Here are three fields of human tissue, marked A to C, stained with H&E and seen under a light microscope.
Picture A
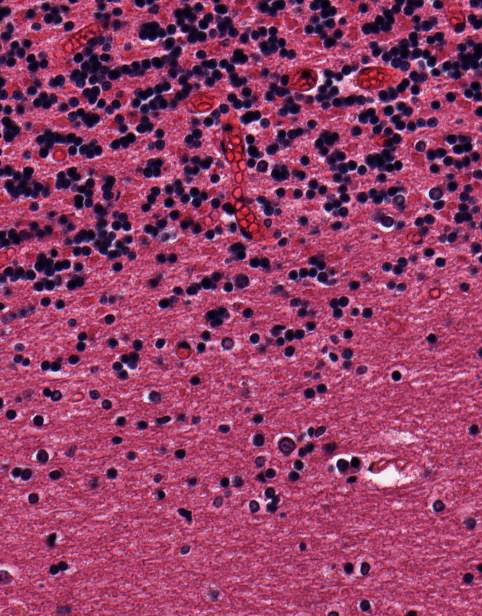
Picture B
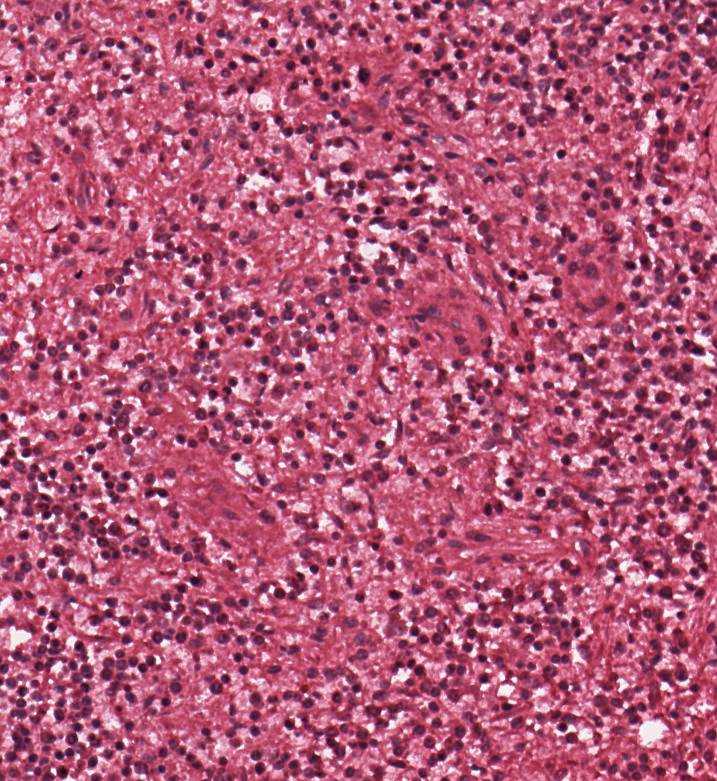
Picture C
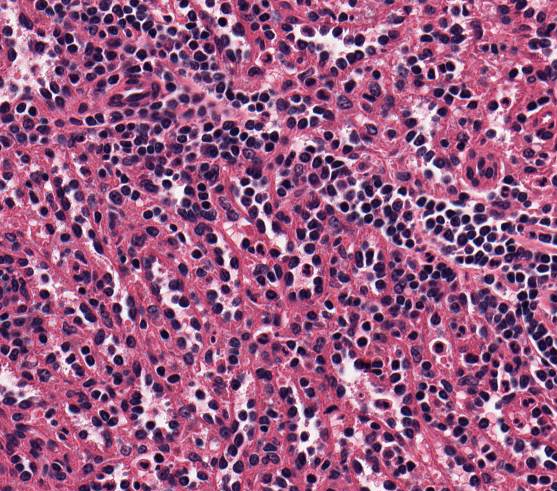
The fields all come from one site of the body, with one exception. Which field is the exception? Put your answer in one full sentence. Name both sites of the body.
The others come from the spleen, but picture A comes from the cerebellum.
